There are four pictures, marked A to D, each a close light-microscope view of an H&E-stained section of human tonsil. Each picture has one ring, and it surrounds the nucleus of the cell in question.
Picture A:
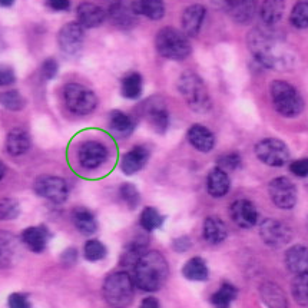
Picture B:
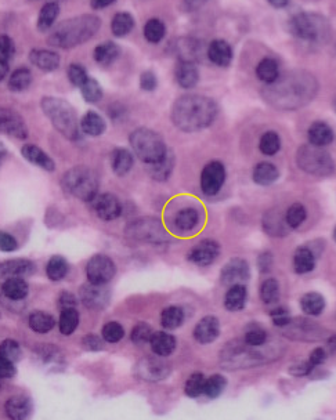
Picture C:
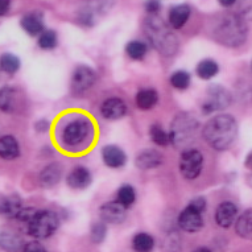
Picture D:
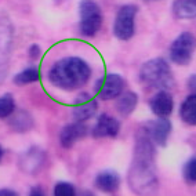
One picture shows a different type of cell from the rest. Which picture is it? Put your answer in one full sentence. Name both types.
Picture D is the odd one out: it shows a proliferating B cell, while the others show plasma cells.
